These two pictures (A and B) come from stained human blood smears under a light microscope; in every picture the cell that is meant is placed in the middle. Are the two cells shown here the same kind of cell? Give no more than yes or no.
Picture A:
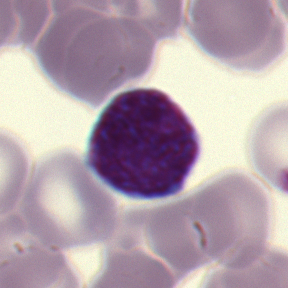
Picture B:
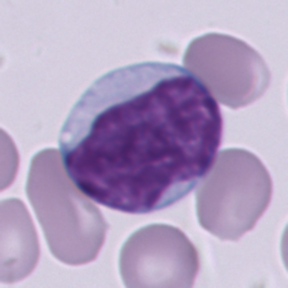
no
